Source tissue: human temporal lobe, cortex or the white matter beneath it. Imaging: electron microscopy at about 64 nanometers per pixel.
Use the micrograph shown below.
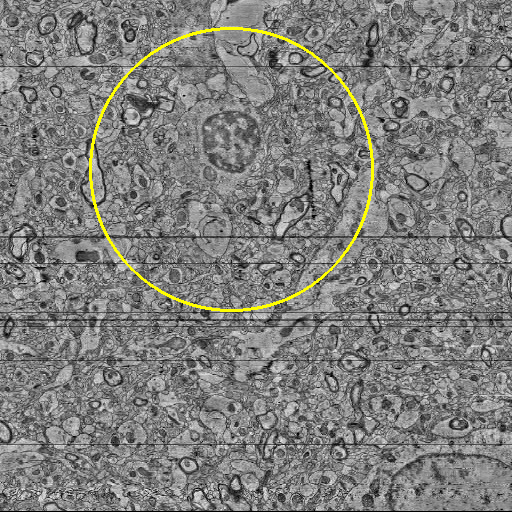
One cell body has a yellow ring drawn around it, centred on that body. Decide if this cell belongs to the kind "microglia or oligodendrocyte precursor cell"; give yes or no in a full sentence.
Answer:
No, the cell lying at the ring's centre in the micrograph is of another kind.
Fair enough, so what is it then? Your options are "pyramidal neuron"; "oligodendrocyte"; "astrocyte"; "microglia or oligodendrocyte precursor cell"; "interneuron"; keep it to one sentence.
The cell ringed in the picture is an oligodendrocyte.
